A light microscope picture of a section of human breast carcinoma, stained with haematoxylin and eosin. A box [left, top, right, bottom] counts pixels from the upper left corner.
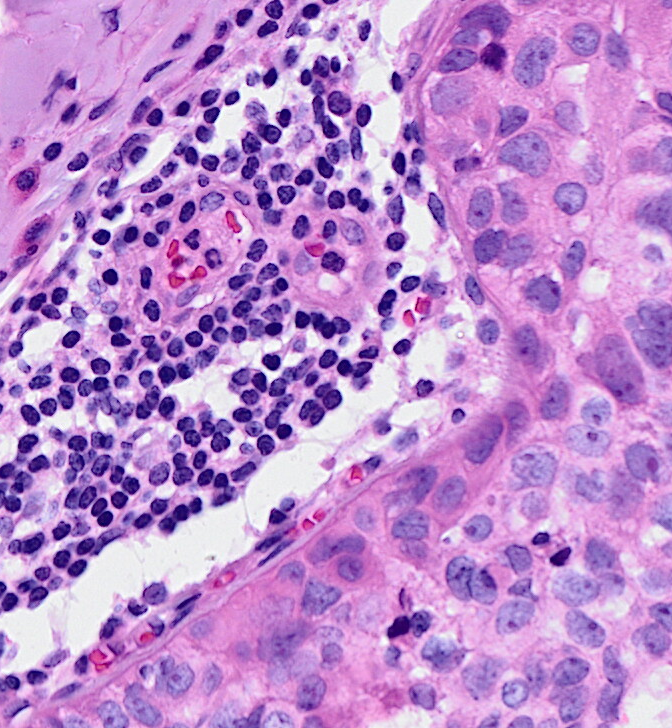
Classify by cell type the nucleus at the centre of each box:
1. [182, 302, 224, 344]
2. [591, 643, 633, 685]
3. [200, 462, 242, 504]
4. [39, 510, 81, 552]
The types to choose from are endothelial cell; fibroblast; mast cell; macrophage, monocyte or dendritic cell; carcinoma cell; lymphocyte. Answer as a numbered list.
1. lymphocyte
2. carcinoma cell
3. lymphocyte
4. lymphocyte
